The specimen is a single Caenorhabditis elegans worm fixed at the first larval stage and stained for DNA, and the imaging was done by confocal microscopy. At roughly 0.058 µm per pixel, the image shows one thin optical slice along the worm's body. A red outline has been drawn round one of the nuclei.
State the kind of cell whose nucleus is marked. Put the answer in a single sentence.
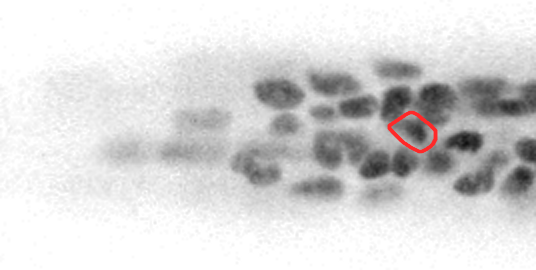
This is the nucleus of a pharyngeal muscle cell.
